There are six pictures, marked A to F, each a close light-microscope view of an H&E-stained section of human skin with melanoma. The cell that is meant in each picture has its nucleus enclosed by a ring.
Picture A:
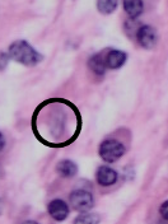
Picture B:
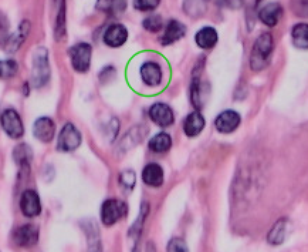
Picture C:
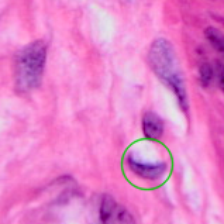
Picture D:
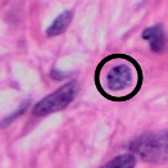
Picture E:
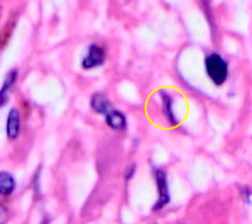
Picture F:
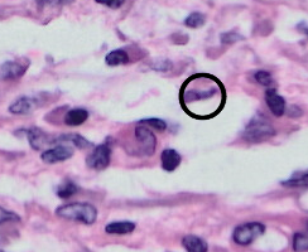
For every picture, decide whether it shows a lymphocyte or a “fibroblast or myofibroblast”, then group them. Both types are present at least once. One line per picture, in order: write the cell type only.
fibroblast or myofibroblast
lymphocyte
fibroblast or myofibroblast
lymphocyte
fibroblast or myofibroblast
fibroblast or myofibroblast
